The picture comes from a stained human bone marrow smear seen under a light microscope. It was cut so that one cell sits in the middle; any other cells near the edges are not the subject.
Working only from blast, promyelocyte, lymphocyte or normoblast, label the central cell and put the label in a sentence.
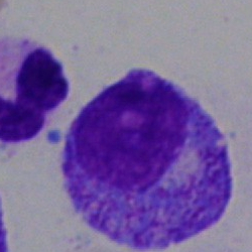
The cell shown in the center of this light-microscope crop is a promyelocyte.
